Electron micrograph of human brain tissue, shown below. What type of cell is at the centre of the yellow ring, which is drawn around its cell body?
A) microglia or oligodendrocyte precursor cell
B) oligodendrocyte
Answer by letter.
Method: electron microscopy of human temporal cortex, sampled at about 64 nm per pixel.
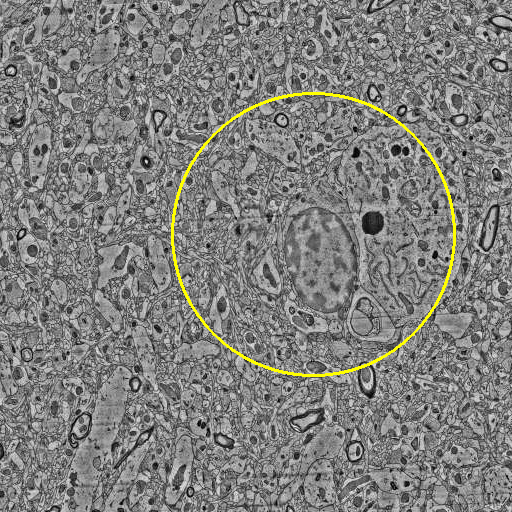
B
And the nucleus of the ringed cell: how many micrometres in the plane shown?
The nucleus works out at approximately 7 by 4 micrometres in this plane.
